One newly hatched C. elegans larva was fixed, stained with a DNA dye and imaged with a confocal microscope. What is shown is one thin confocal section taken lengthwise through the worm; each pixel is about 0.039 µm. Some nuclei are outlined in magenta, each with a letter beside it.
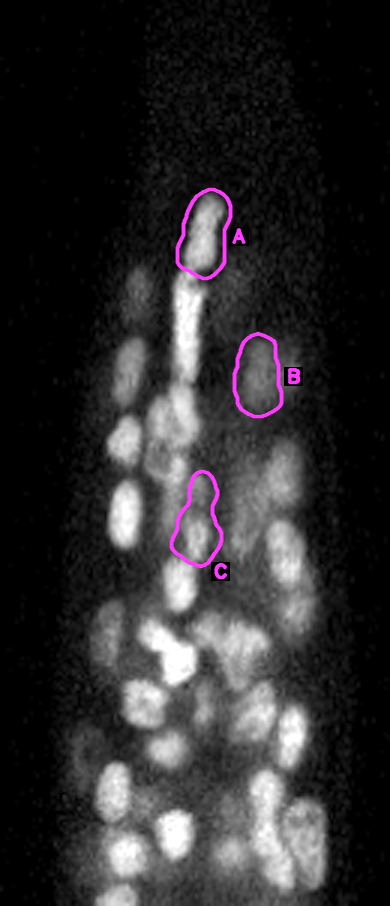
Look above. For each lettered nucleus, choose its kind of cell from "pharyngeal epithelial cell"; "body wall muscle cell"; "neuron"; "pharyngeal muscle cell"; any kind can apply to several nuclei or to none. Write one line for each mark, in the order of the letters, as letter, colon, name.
A: pharyngeal epithelial cell
B: body wall muscle cell
C: pharyngeal muscle cell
